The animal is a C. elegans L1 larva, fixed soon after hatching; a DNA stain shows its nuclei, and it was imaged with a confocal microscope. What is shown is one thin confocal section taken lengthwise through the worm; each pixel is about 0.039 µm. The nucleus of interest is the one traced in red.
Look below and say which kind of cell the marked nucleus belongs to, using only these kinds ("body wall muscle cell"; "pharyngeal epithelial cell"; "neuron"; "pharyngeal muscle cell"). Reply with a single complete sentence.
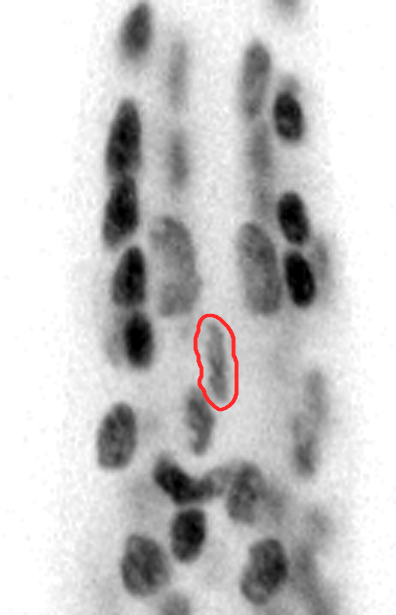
What is marked is the nucleus of a pharyngeal muscle cell.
